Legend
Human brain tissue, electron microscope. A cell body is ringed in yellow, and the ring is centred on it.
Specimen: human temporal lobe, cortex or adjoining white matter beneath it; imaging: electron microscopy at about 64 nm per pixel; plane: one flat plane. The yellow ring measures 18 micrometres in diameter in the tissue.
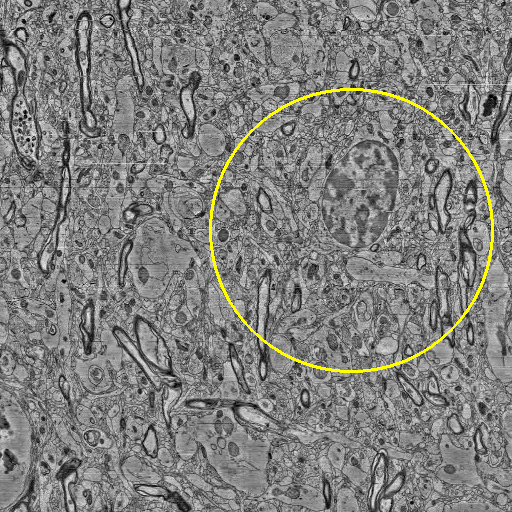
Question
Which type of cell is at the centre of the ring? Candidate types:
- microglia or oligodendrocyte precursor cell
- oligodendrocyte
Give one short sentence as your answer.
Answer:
The yellow ring is centred here on a microglial cell or oligodendrocyte precursor cell.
